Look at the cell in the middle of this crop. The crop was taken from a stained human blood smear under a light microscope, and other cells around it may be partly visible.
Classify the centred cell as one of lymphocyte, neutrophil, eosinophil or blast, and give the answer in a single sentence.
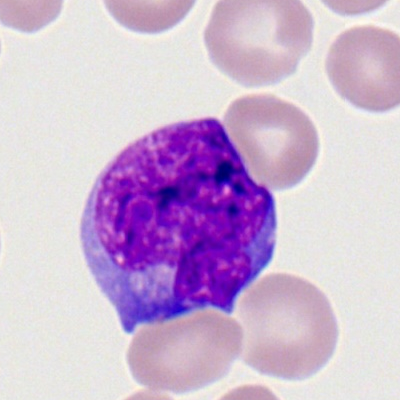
The cell in the middle of the field of view is a blast.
